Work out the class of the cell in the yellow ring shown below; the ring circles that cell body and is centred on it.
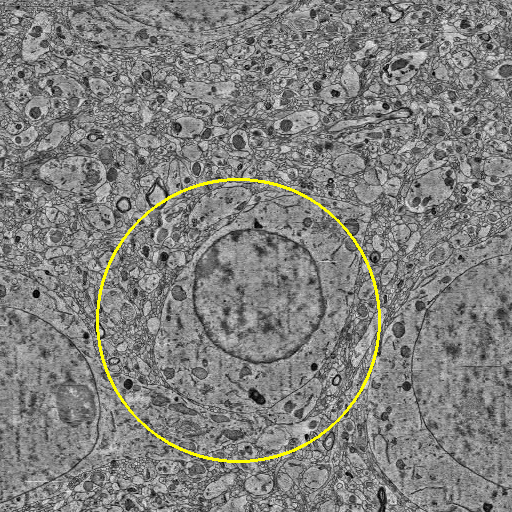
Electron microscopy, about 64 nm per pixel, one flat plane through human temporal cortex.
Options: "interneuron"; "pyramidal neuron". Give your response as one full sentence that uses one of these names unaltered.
The body ringed in yellow, right at the ring's centre, is that of a pyramidal neuron.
